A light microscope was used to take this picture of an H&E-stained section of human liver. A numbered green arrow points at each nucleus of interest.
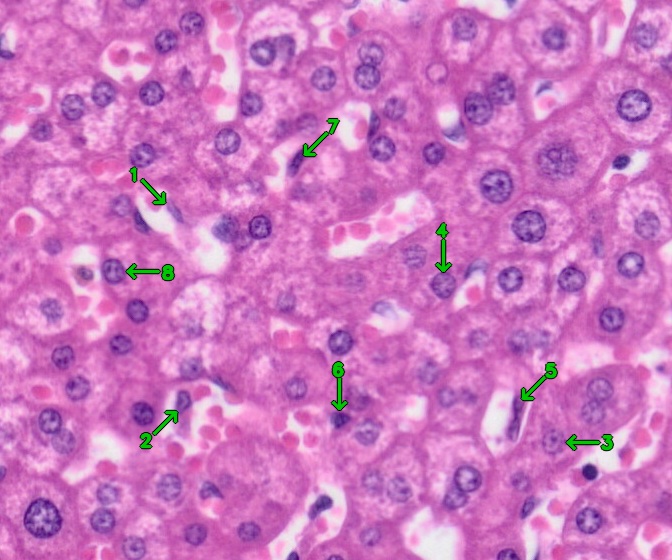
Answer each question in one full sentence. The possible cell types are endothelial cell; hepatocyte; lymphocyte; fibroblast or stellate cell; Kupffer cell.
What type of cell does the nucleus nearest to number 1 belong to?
It is an endothelial cell whose nucleus is nearest to number 1.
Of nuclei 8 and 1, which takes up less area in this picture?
It is nucleus 1; nucleus 8 has about 2 times its area.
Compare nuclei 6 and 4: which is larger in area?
It is nucleus 4, which covers about 2 times the area of nucleus 6.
